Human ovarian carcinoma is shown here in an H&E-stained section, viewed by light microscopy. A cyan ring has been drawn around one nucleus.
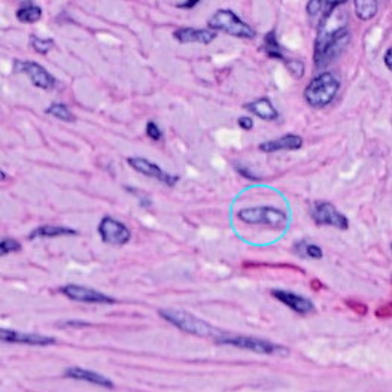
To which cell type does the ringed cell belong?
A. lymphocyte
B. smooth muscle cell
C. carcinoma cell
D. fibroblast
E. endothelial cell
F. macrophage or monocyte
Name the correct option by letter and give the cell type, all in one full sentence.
Option D is the correct one, since the ringed cell is a fibroblast.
